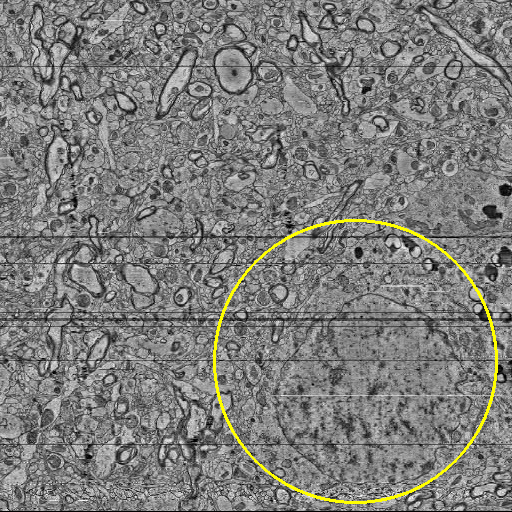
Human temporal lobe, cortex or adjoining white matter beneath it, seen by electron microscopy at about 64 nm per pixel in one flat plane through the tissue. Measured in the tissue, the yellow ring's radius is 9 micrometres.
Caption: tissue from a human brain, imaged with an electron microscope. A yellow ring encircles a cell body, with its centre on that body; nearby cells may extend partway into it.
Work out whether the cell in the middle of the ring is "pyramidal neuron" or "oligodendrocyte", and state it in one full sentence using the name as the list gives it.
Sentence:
In the picture, the cell that the yellow ring surrounds at its centre is a pyramidal neuron.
